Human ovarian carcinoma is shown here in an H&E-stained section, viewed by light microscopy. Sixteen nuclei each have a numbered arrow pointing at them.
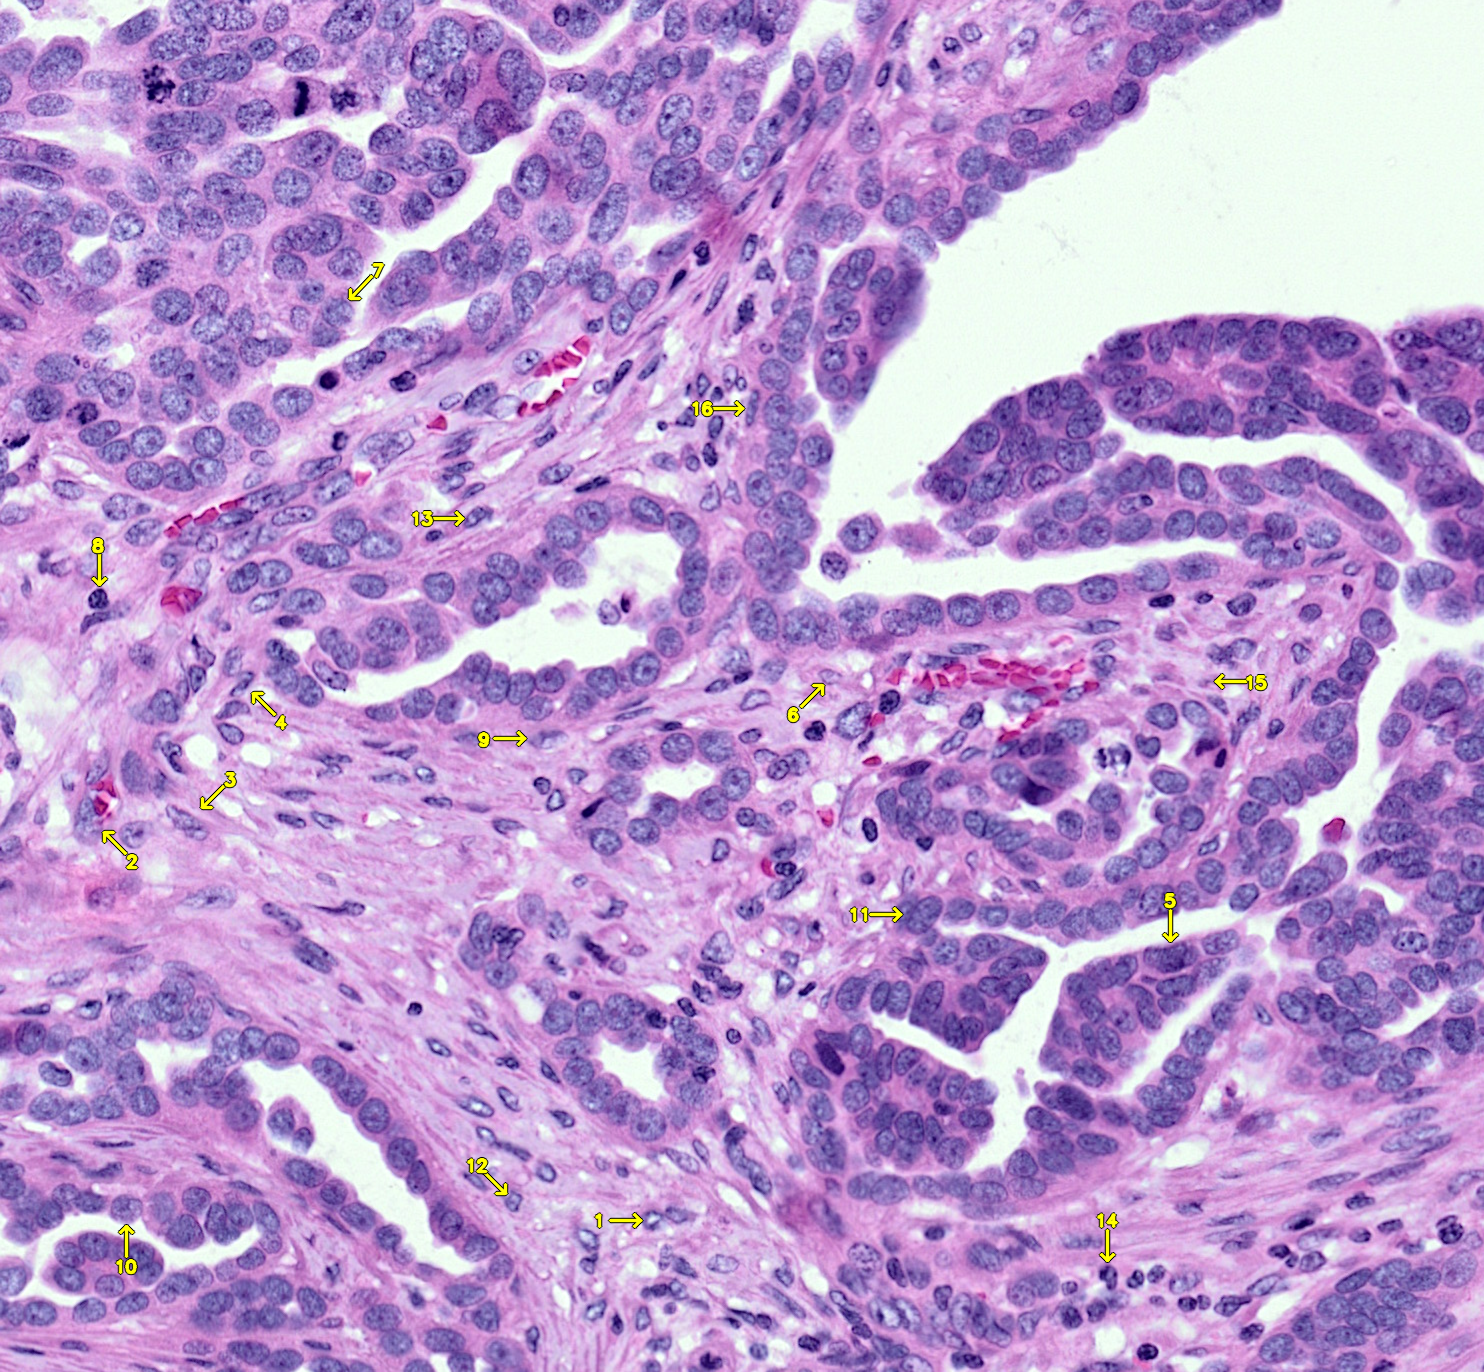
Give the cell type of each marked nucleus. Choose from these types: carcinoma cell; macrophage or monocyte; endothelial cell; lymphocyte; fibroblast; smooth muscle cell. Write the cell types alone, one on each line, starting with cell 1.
fibroblast
endothelial cell
fibroblast
fibroblast
carcinoma cell
fibroblast
carcinoma cell
lymphocyte
fibroblast
carcinoma cell
carcinoma cell
fibroblast
fibroblast
lymphocyte
fibroblast
fibroblast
